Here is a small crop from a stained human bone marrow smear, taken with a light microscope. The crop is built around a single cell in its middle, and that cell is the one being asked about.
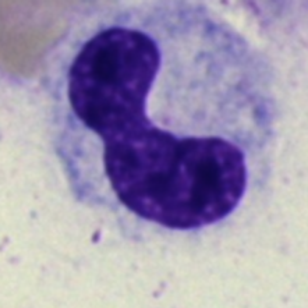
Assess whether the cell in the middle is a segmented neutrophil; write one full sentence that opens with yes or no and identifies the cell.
No, the central cell is identified not as a segmented neutrophil but as a band neutrophil.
